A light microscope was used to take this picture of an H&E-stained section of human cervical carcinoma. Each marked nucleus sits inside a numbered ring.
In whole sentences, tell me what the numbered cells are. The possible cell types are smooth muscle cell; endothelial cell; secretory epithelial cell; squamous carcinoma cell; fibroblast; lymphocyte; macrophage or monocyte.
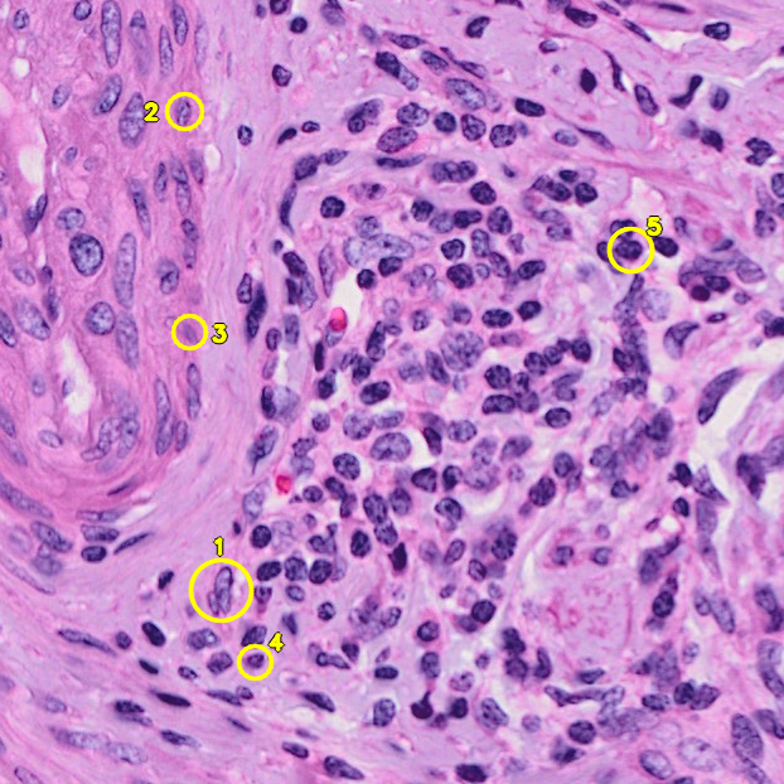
Cell 1 is an endothelial cell. Cells 2 and 3 are smooth muscle cells. Cell 4 is a fibroblast. Cell 5 is a lymphocyte.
